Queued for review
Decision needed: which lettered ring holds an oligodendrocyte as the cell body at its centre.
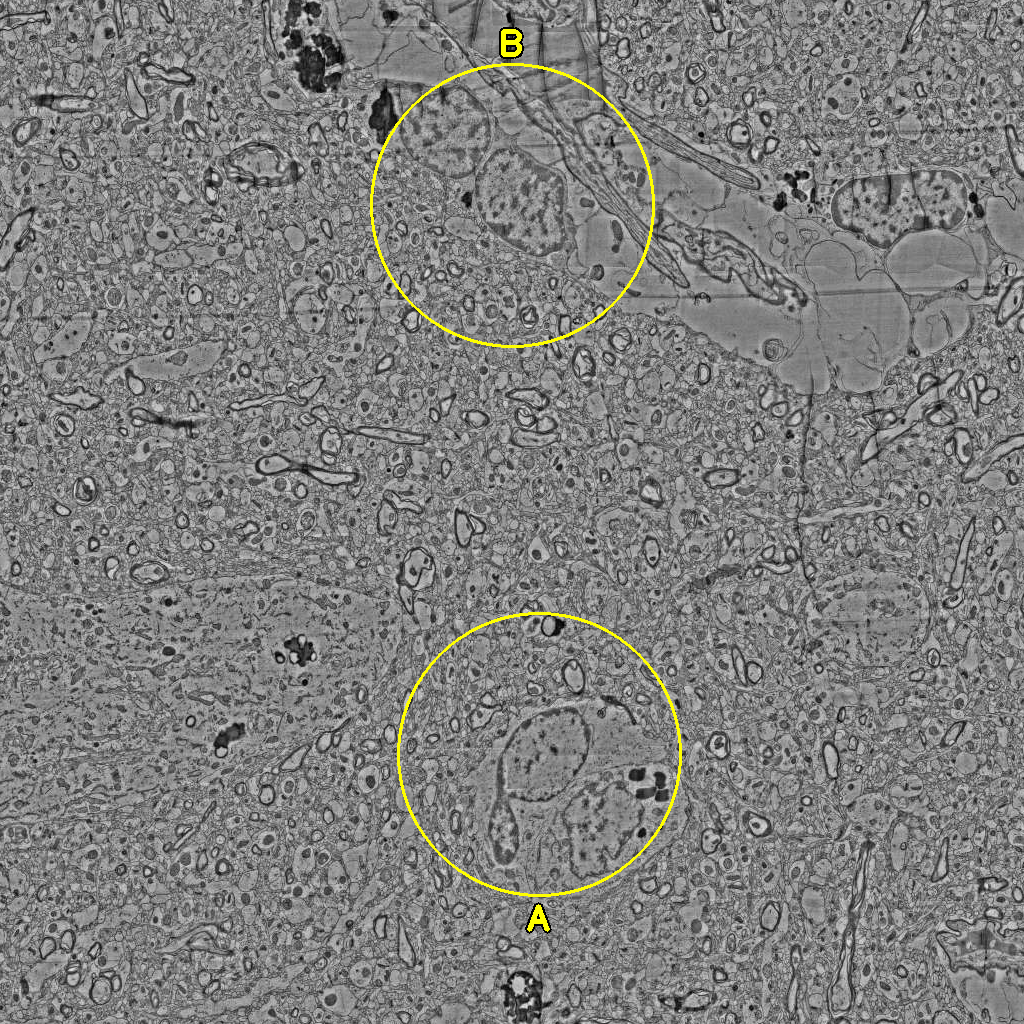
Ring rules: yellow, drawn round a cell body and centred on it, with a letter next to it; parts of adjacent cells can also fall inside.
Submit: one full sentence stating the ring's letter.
The cell asked for is the one at the centre of ring B in the picture.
